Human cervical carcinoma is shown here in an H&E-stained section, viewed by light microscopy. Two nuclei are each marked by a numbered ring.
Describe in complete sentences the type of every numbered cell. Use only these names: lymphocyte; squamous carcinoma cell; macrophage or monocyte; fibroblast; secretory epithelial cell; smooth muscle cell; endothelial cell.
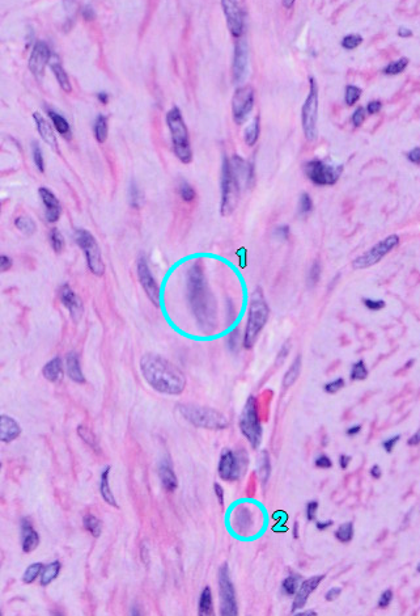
Cell 1 is a fibroblast. Cell 2 is an endothelial cell.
